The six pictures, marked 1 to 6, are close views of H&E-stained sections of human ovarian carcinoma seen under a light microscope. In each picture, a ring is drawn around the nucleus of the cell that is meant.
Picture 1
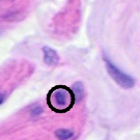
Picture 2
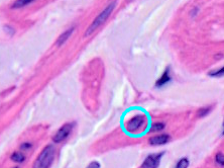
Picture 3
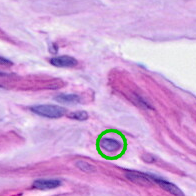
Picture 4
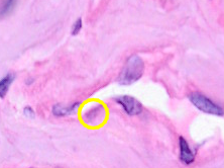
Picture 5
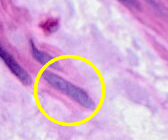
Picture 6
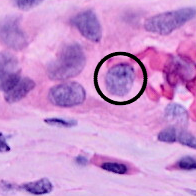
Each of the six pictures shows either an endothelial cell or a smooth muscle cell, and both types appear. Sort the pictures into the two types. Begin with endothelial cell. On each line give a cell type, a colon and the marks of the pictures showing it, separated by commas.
endothelial cell: 3, 4, 6
smooth muscle cell: 1, 2, 5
